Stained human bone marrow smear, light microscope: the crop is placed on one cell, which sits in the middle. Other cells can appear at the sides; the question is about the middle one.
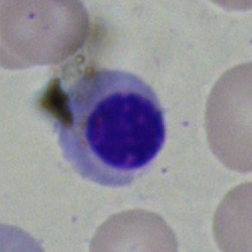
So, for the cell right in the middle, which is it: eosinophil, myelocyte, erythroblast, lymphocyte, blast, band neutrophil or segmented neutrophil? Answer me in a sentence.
This crop's central cell is an erythroblast.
